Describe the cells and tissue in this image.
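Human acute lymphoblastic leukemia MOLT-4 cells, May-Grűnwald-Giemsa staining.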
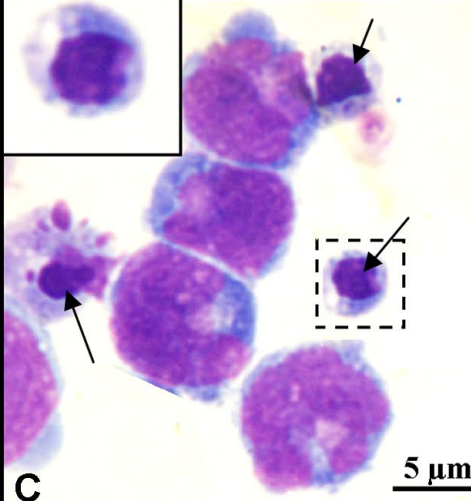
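The intact cells are large and rounded, with big purple nuclei of fine chromatin and a narrow rim of pale blue cytoplasm. Several nuclei show a notch or paler cleft. Beside the cells lie much smaller bodies with dense, dark purple, condensed chromatin surrounded by a thin blue cytoplasmic rim. One such body lies close against a large cell, with small blebs at its margin.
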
